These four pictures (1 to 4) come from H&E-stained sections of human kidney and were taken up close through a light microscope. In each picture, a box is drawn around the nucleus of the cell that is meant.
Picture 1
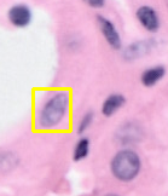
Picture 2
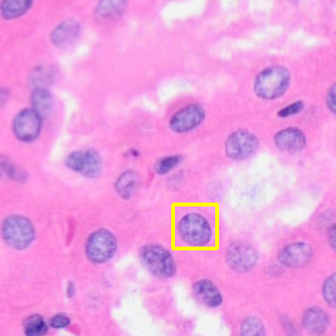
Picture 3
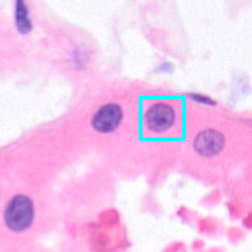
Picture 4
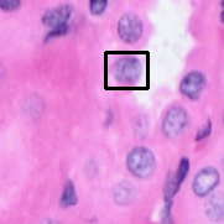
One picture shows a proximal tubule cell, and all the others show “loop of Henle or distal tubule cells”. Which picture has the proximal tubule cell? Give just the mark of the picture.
3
